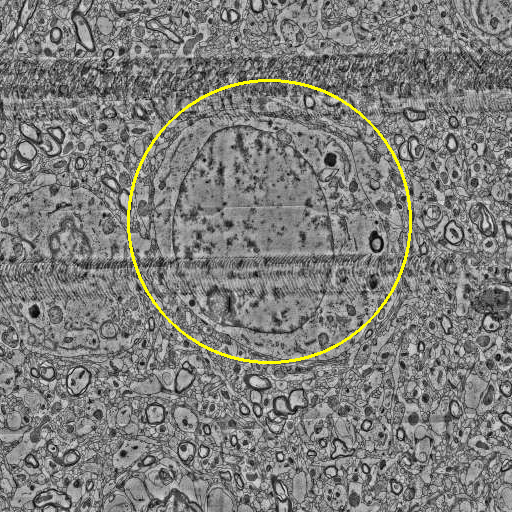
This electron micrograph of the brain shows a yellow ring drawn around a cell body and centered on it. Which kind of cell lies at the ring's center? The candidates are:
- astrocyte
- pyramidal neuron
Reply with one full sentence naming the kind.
The cell lying at the ring's center in this micrograph is a pyramidal neuron.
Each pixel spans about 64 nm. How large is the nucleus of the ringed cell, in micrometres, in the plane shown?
About 14 by 10 micrometres in this plane.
